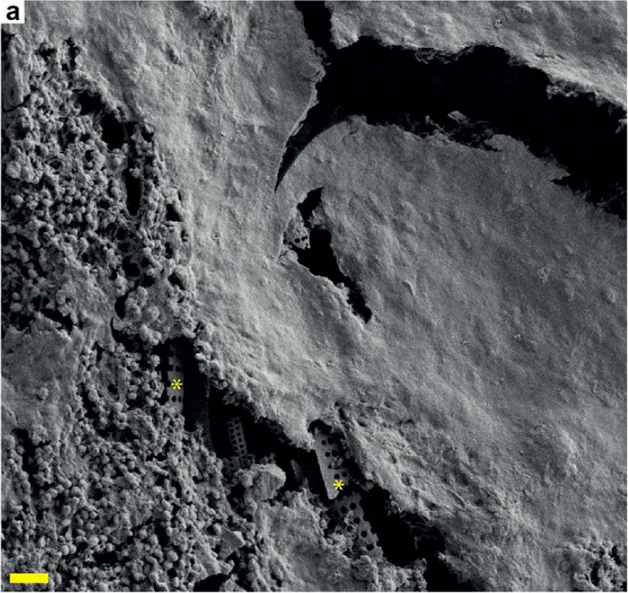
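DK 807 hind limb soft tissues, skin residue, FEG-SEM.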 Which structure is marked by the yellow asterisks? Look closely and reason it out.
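Elongated rectangular plates lie beside the asterisks. The plates are pierced by regular rows of small pores. They lie in gaps beneath the overlying sheet of matter.
Conclusion: Diatom frustules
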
